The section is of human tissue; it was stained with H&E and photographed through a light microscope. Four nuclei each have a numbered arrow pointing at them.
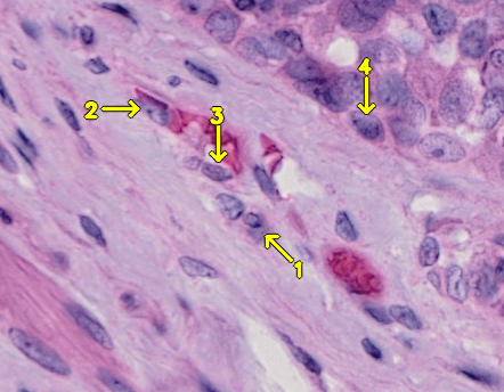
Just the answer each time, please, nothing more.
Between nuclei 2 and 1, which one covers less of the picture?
1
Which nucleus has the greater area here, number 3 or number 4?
4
